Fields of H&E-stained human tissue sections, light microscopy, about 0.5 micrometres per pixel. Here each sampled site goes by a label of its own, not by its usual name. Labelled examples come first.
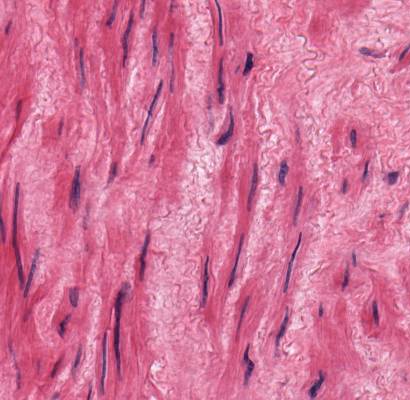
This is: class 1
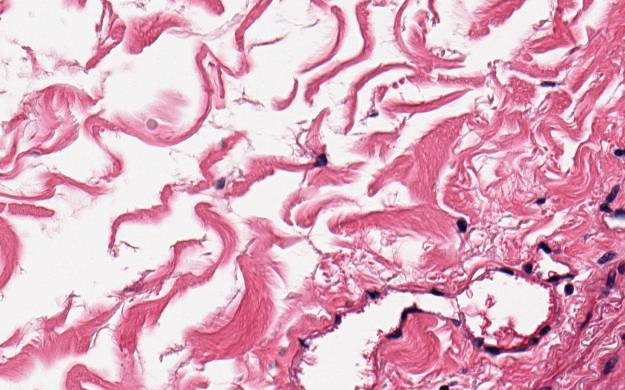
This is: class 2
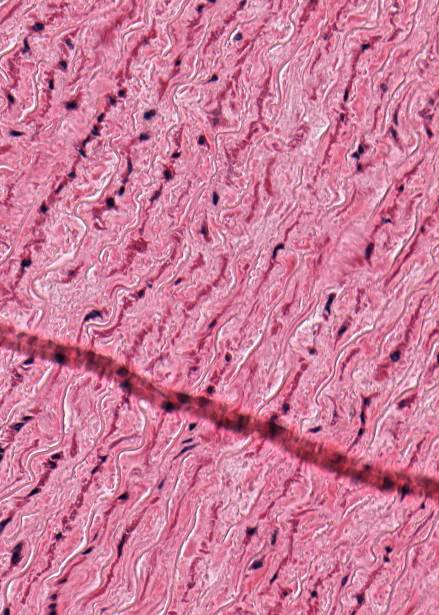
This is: class 2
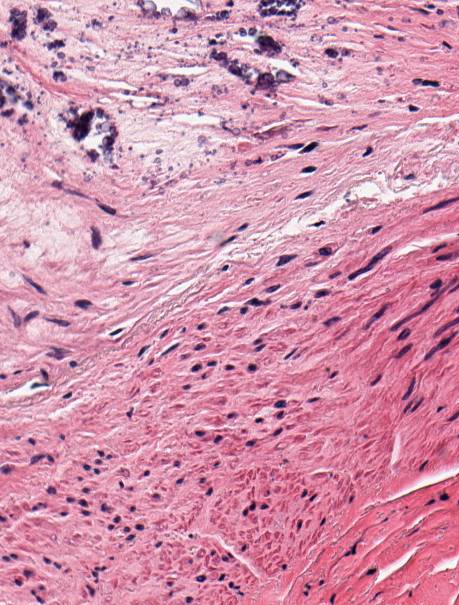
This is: class 1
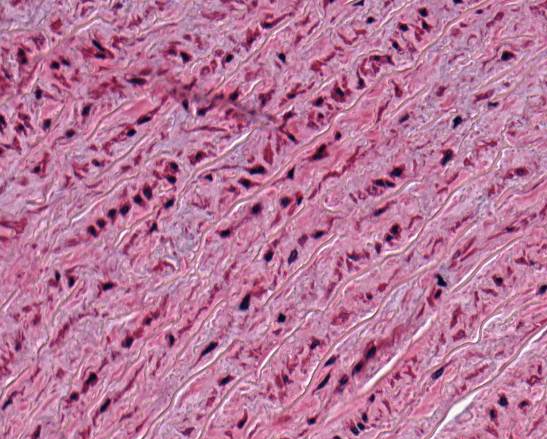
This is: class 2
